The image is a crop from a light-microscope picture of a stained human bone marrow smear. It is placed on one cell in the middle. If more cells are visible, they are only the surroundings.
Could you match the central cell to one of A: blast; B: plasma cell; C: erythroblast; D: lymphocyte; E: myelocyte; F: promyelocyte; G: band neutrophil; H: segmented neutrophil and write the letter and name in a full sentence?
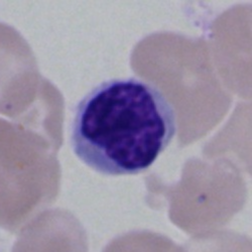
At the centre of the crop lies a lymphocyte, which makes option D correct.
